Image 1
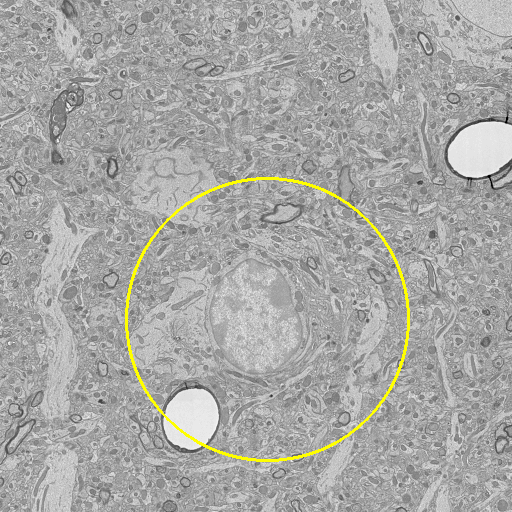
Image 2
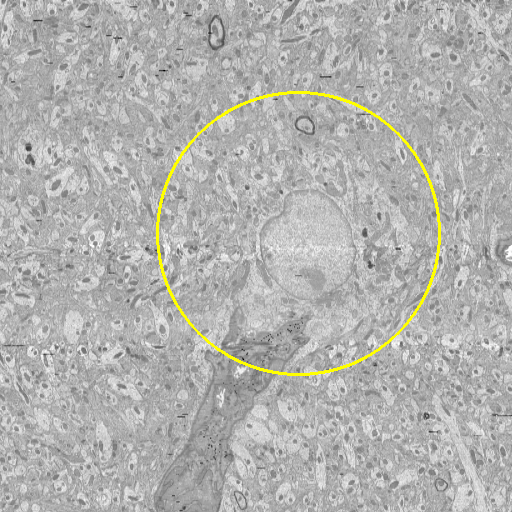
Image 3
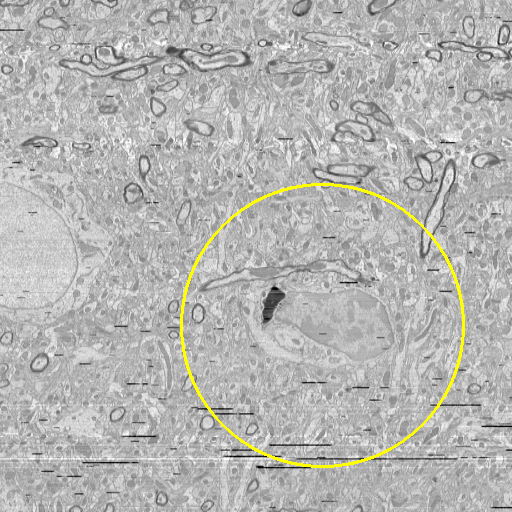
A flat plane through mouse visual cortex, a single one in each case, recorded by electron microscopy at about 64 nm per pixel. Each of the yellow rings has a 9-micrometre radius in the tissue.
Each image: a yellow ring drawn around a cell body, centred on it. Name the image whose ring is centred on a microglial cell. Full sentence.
That is Image 3.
